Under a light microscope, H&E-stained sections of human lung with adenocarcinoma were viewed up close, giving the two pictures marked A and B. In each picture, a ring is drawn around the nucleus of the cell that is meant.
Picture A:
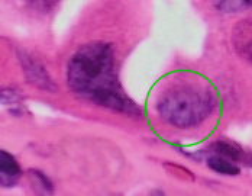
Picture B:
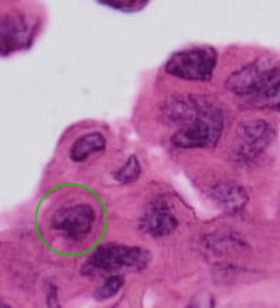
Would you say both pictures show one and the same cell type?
yes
